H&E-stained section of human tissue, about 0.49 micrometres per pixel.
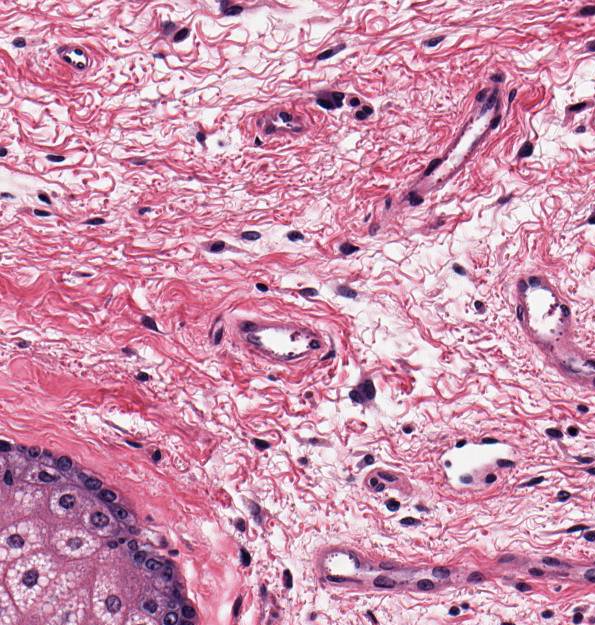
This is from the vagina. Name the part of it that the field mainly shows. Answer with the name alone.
loose connective tissue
